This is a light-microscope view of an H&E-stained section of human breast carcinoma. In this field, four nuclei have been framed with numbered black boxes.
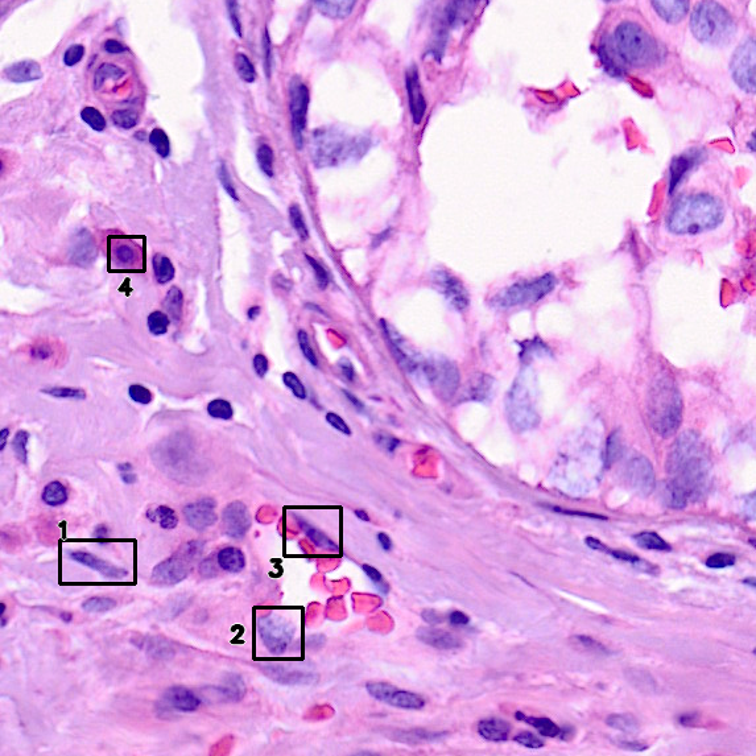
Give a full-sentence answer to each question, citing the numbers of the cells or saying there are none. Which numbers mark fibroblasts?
As for the numbered cells, only cell 1 is a fibroblast.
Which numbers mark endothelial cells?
The cells with the numbers 2 and 3 are endothelial cells.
